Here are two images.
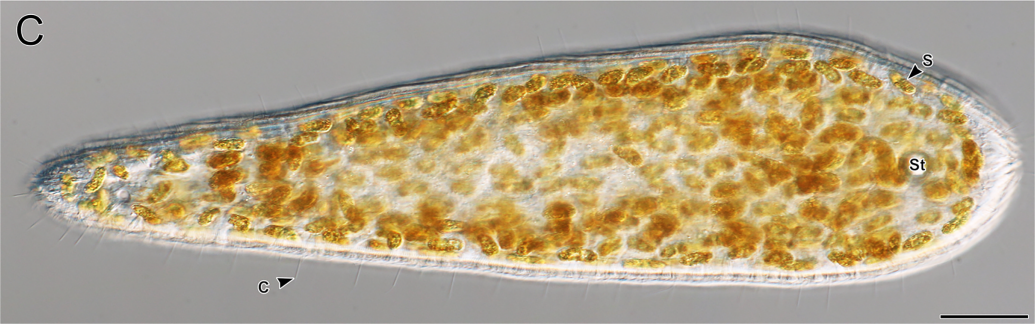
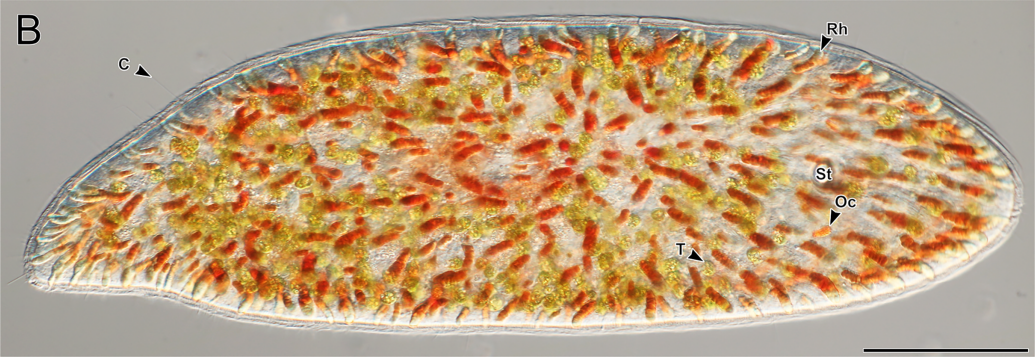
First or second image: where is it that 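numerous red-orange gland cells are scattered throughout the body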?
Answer: the second image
